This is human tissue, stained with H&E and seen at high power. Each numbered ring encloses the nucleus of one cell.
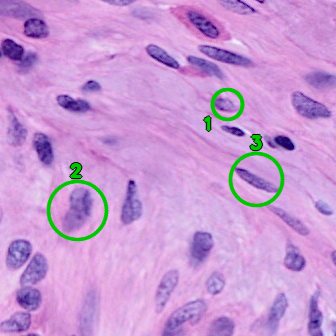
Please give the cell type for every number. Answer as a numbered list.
1. smooth muscle cell
2. fibroblast
3. fibroblast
